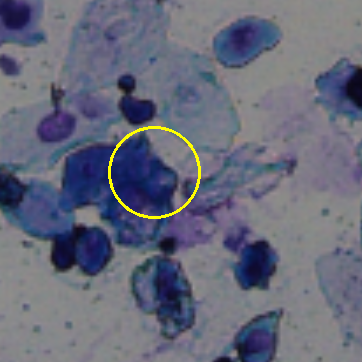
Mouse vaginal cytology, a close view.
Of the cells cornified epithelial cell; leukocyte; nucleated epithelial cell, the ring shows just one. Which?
The ring shows a cornified epithelial cell.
